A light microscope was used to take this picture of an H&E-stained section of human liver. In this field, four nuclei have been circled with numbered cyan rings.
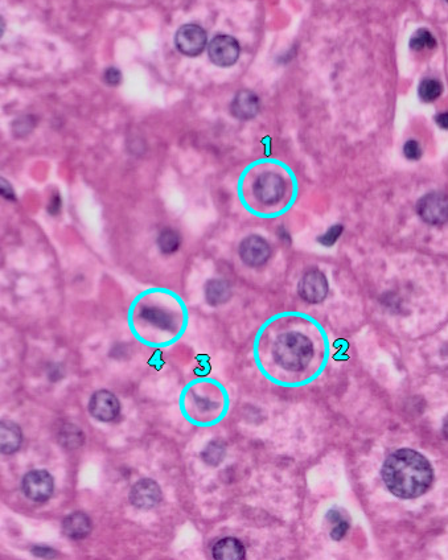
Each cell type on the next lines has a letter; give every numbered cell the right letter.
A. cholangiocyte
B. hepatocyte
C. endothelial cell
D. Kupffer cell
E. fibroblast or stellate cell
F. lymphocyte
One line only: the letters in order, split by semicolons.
B; B; C; D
